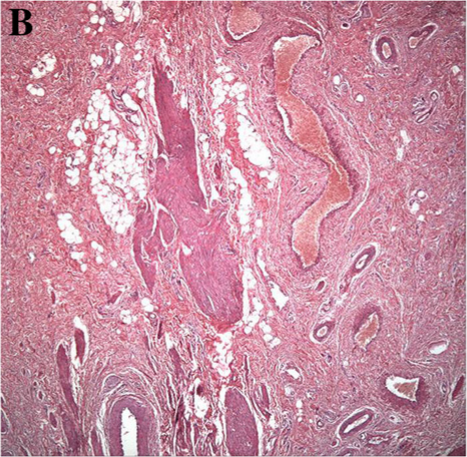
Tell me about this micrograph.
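This low-power view shows a tumor built of smooth muscle bundles, blood vessels and adipose tissue lying in pink fibrous stroma. Groups of fat cells appear as clusters of empty round clear spaces. Many vessels of different sizes are scattered throughout, some cut lengthwise and filled with red-orange blood. Dense pink bundles and fibrous tissue fill the spaces between them, without any capsule at the edges.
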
